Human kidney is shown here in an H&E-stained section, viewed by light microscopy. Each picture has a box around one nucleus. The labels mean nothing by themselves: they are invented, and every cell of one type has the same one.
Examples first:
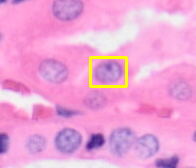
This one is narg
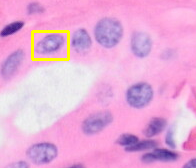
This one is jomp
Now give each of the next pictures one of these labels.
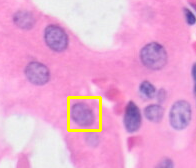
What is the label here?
narg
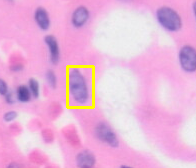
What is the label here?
jomp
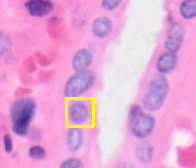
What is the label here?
jomp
